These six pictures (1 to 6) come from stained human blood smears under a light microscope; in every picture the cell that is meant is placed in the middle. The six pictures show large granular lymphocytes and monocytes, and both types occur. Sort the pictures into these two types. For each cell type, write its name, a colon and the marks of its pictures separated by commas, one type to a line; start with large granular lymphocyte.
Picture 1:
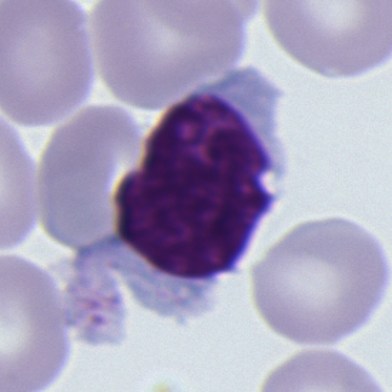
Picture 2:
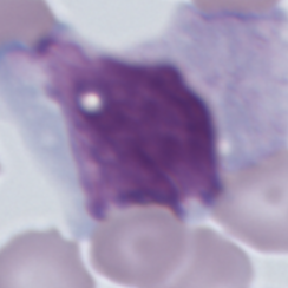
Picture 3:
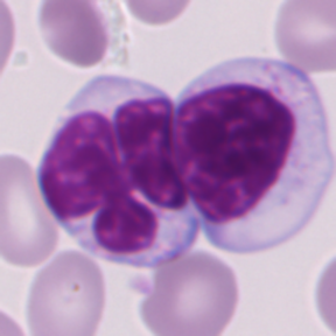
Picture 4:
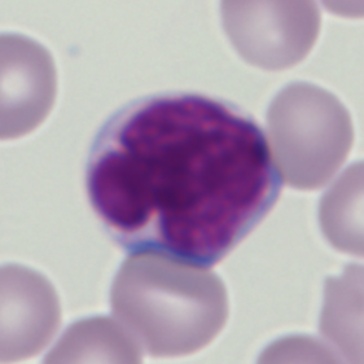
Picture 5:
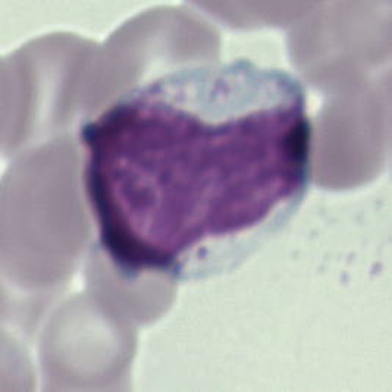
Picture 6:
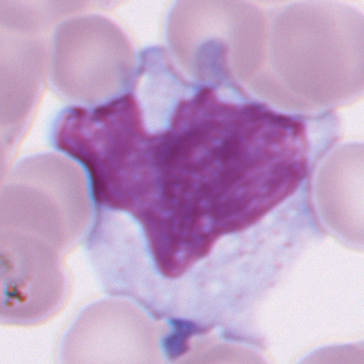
large granular lymphocyte: 1, 3, 4, 5
monocyte: 2, 6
